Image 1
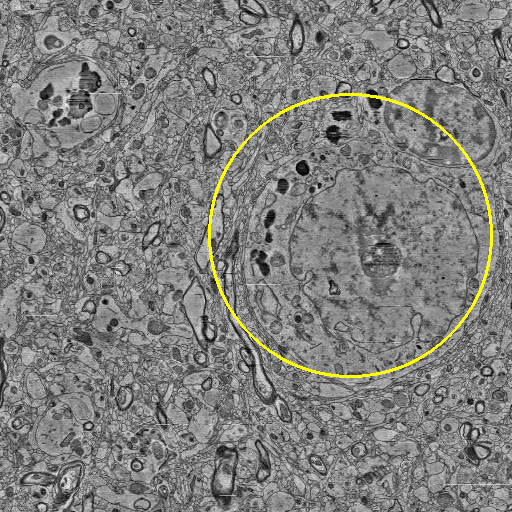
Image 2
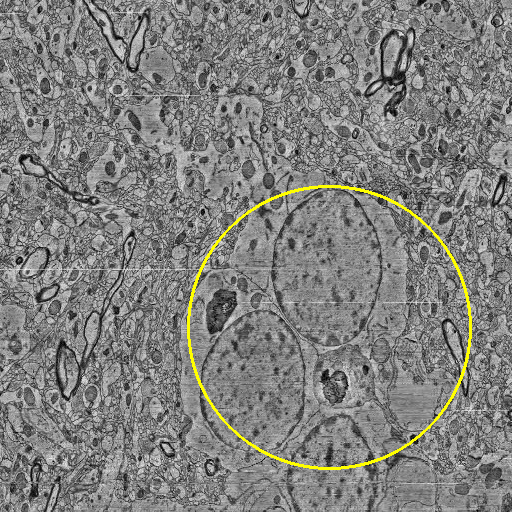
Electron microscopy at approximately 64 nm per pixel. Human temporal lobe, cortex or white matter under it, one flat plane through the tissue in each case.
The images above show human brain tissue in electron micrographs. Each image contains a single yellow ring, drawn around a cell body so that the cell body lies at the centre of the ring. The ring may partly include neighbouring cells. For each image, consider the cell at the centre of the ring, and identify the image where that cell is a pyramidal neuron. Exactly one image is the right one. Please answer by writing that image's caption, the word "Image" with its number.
Image 1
